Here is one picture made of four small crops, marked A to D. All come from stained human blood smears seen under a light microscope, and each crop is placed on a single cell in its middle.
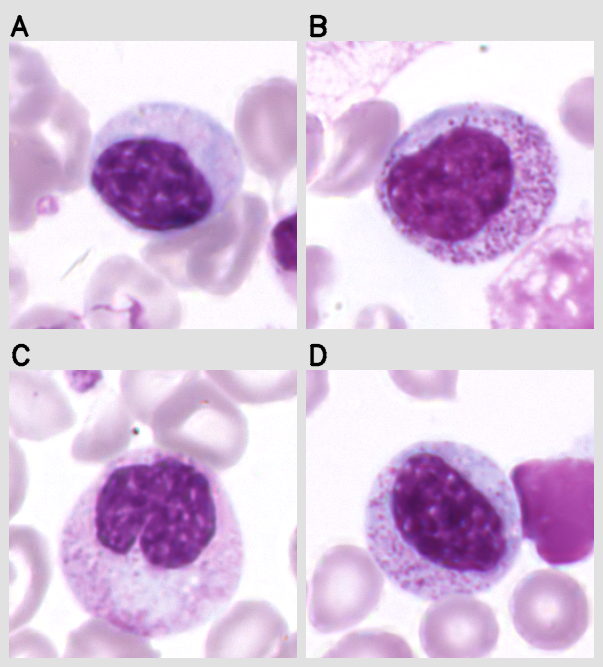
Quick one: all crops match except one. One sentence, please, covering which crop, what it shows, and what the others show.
For this set, crop C is a band neutrophil, and all the rest are metamyelocytes.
